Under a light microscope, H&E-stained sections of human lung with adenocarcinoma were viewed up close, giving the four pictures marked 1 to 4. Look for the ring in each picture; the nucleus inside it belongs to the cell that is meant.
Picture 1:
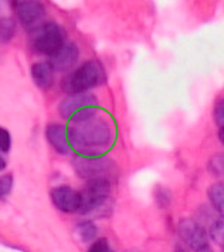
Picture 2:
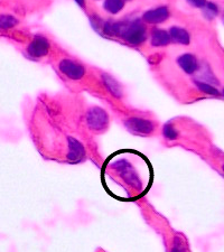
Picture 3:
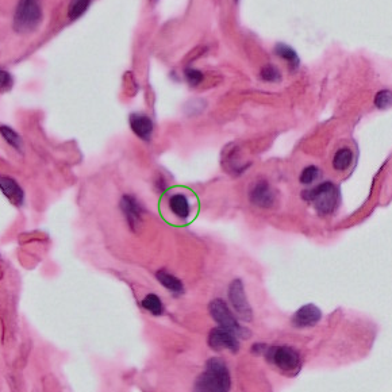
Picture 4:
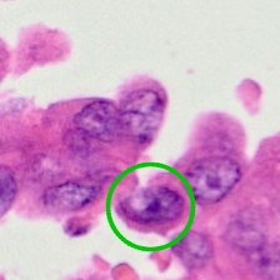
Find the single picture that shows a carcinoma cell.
4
